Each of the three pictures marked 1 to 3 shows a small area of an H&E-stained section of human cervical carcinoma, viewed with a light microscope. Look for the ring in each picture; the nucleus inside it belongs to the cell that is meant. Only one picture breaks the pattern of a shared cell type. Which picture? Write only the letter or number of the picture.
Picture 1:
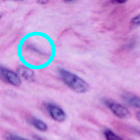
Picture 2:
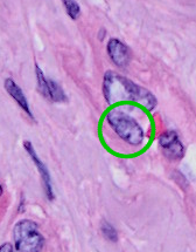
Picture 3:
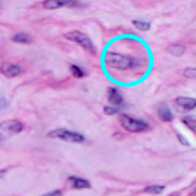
2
